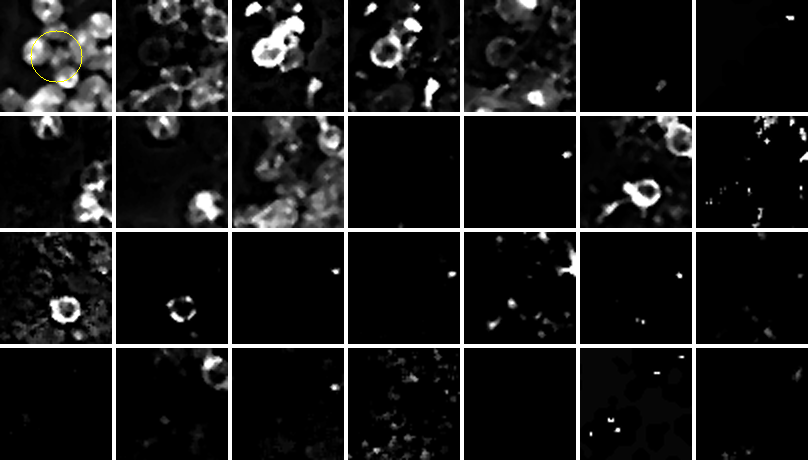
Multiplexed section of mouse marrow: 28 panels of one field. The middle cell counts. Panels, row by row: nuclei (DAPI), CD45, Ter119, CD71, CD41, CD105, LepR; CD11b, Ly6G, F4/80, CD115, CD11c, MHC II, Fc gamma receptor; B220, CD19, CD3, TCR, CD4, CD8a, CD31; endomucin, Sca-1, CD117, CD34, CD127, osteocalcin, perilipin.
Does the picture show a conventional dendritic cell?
No, it shows an erythroblast.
